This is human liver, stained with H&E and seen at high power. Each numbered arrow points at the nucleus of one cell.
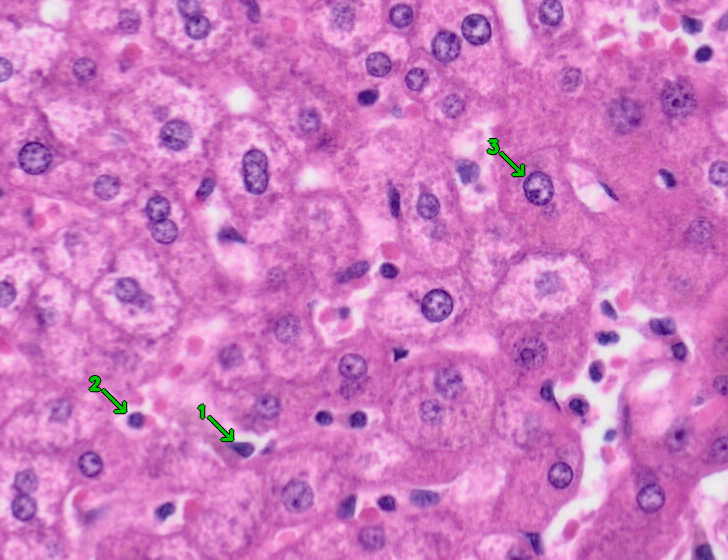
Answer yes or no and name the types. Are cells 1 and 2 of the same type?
No, cell 1 is categorized as a Kupffer cell, while cell 2 is categorized as a lymphocyte.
